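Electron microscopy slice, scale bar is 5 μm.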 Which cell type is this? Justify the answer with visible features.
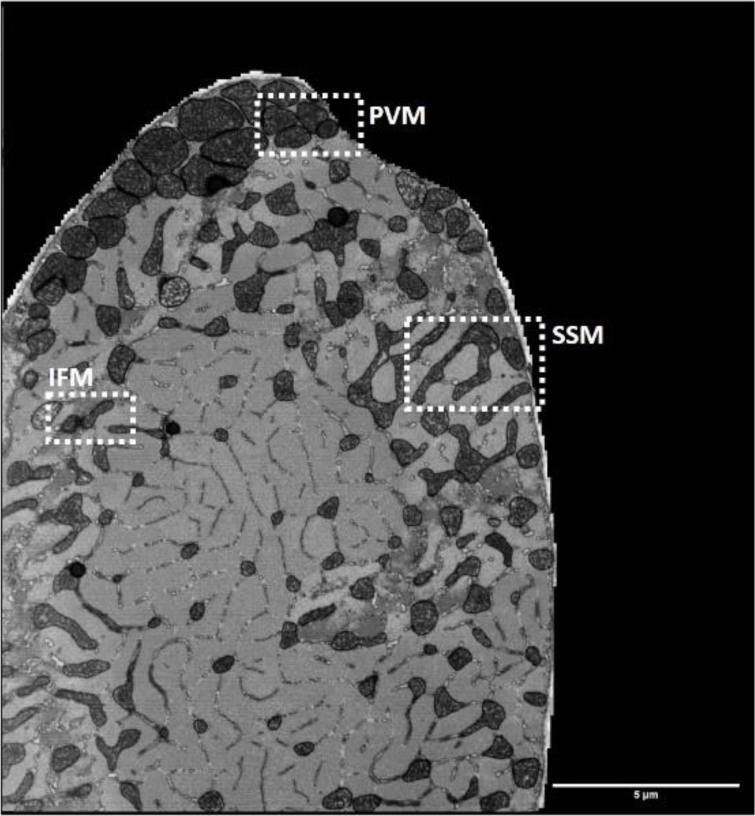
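A single large cell profile with a rounded edge against a black background. Pale finely textured cytoplasm divided into fibrillar domains by a network of thin lines. Many dark, textured organelles lie between the pale fibrillar domains and crowd the cell edge.
Skeletal muscle cell.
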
